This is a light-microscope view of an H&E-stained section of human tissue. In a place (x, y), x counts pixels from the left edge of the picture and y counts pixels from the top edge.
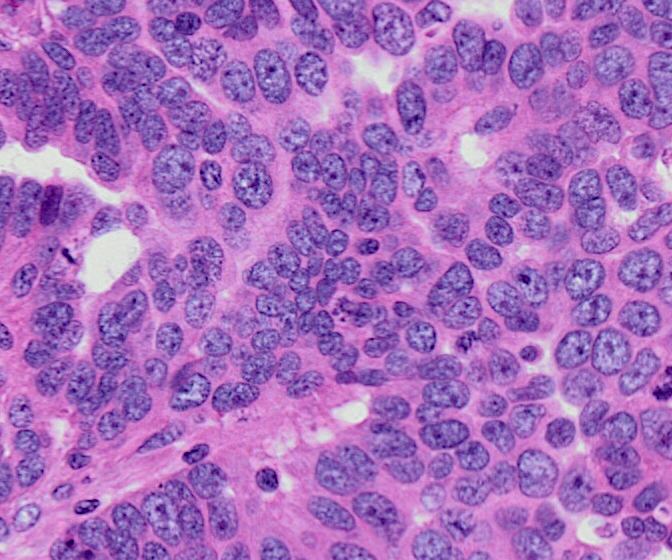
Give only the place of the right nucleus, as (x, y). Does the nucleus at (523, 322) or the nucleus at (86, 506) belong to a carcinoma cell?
(523, 322)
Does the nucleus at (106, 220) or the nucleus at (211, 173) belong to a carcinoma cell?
(106, 220)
